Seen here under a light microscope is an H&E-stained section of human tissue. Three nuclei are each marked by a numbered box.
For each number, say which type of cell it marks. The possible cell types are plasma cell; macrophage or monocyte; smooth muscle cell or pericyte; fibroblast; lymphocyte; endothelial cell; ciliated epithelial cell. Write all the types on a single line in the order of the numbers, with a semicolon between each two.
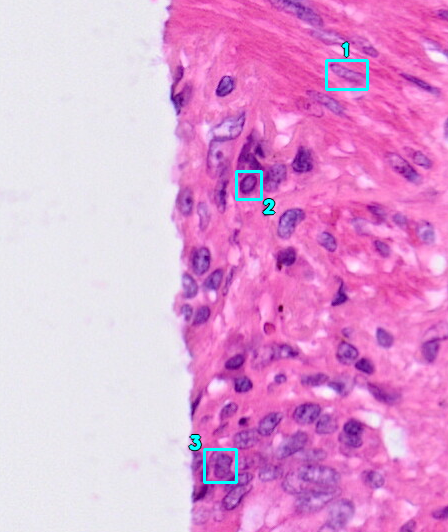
smooth muscle cell or pericyte; plasma cell; ciliated epithelial cell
